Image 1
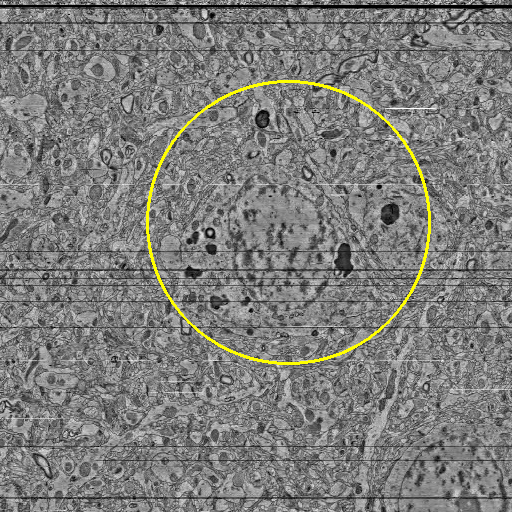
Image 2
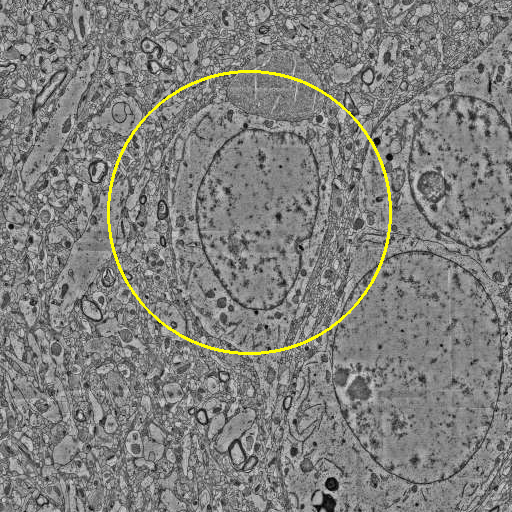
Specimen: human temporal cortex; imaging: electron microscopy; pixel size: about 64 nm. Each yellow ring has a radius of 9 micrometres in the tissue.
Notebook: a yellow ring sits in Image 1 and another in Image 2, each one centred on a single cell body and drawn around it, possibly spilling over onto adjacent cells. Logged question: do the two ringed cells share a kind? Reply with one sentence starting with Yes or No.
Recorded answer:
No, the centre cells inside the rings of Image 1 and Image 2 are of two kinds.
